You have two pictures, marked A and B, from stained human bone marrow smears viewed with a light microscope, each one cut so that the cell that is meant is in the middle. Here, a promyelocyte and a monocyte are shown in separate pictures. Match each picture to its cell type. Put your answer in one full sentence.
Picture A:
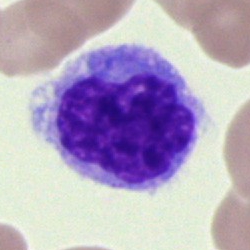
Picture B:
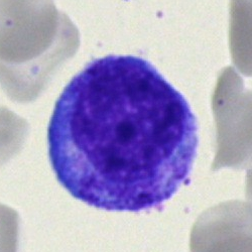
It is picture A that shows a monocyte, and picture B that shows a promyelocyte.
